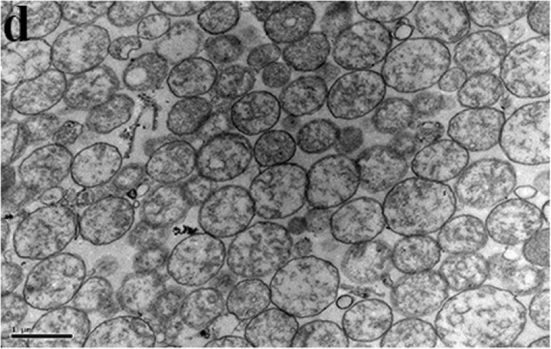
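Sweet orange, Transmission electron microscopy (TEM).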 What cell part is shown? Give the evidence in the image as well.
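Densely packed round to oval organelles bounded by a dark membrane. No cell walls, nuclei or surrounding cytoplasm, so the organelles lie free. That points to this answer: isolated mitochondria.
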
